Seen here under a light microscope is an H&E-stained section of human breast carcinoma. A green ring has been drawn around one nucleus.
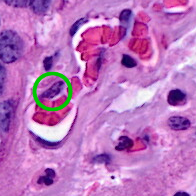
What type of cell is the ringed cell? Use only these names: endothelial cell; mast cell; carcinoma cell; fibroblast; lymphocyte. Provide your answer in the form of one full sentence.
As to its cell type, the ringed cell is an endothelial cell.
